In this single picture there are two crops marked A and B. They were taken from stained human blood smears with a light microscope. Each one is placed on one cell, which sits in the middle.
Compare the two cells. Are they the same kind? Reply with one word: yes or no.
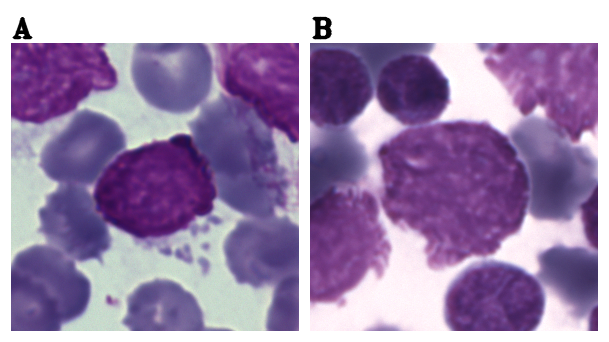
no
